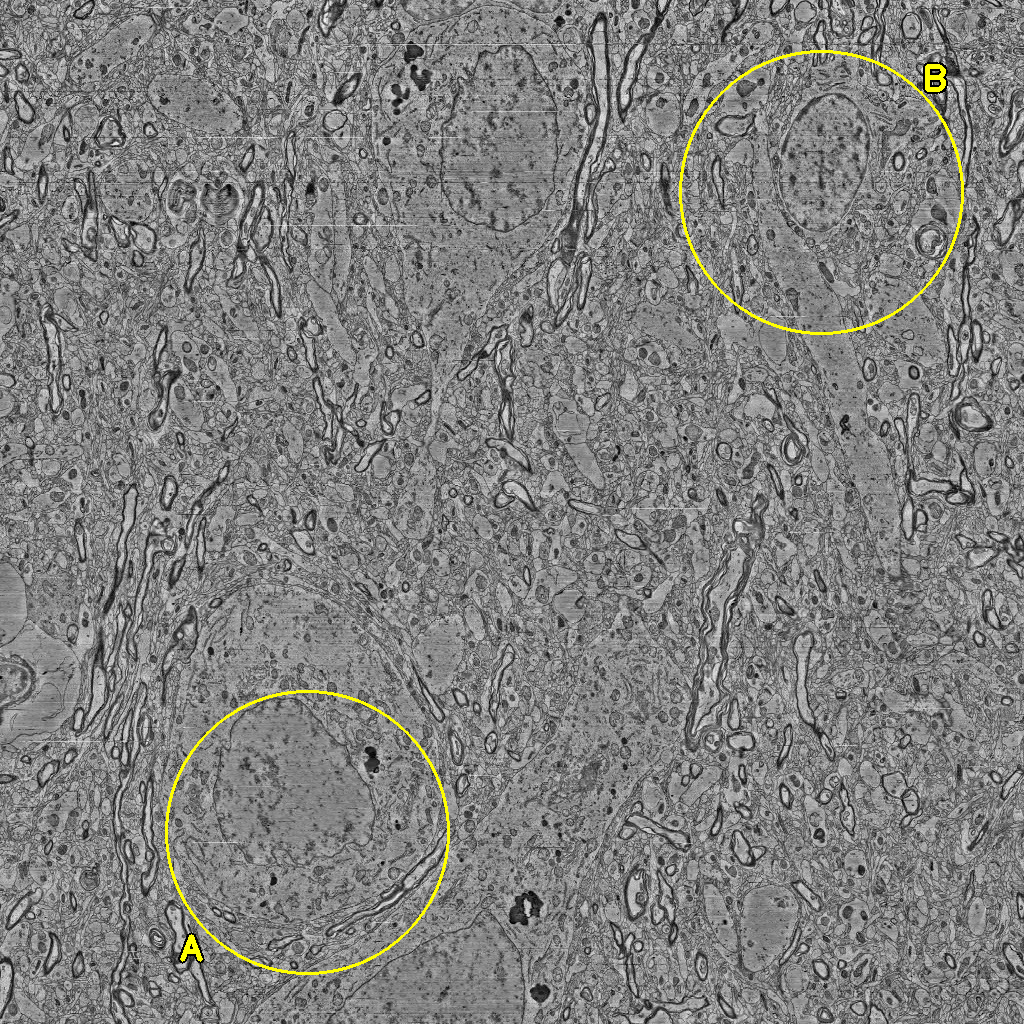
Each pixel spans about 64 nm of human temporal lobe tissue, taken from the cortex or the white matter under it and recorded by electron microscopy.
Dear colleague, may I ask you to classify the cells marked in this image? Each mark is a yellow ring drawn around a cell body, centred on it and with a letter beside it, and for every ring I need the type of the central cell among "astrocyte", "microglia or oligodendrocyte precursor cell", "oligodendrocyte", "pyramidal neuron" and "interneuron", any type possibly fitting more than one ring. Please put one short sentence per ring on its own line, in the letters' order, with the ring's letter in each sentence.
Ring A contains a pyramidal neuron at its centre.
Ring B contains a microglial cell or oligodendrocyte precursor cell at its centre.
